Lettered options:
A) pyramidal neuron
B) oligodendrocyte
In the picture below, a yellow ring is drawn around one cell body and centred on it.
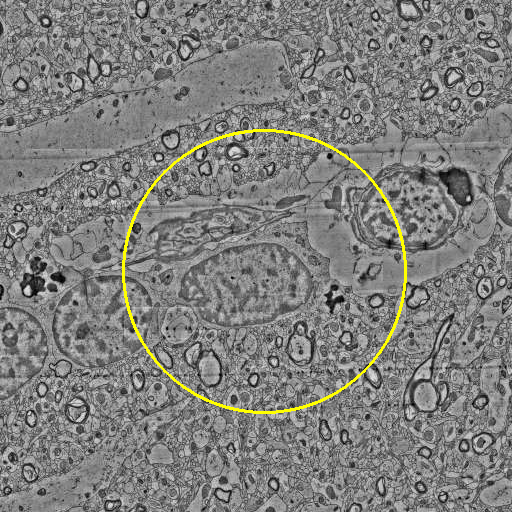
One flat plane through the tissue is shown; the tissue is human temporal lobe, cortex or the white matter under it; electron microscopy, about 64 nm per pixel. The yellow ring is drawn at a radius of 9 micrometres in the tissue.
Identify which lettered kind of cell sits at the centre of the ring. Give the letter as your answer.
B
